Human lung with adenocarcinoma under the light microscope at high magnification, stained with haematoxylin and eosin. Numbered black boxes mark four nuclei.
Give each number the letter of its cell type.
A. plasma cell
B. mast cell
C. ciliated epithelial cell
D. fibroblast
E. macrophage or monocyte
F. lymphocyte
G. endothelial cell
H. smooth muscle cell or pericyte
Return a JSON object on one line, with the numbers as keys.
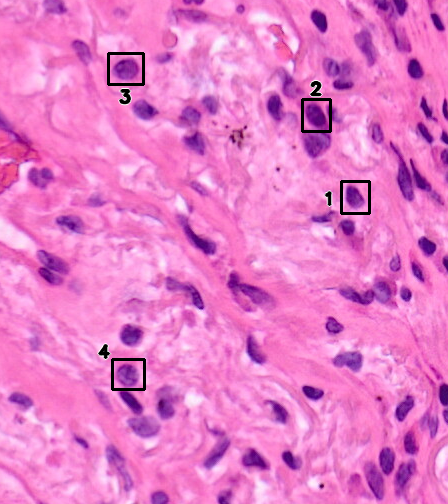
{"1": "F", "2": "A", "3": "A", "4": "B"}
